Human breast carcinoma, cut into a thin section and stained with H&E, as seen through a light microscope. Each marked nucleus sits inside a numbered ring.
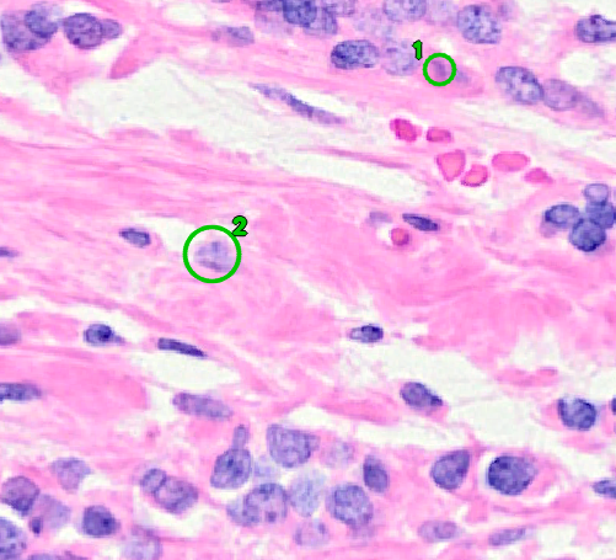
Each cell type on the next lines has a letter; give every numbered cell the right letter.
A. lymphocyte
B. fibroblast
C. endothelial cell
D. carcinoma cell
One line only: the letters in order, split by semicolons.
C; B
